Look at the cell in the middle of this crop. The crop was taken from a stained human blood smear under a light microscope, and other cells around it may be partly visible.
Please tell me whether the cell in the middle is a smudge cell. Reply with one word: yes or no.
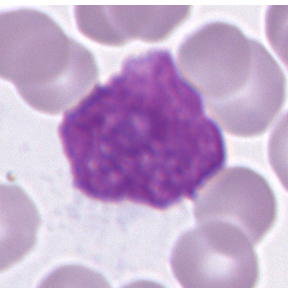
yes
